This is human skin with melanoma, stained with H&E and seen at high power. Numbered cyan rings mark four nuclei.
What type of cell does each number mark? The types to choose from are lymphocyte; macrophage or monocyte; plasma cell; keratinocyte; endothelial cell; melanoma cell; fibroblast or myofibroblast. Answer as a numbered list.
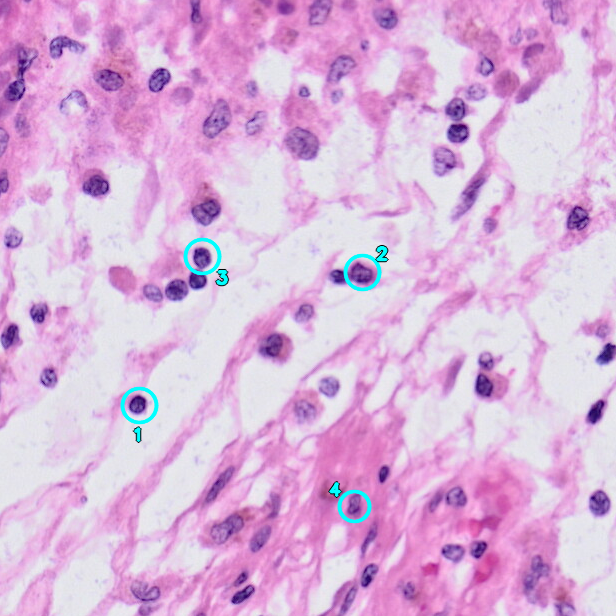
1. lymphocyte
2. macrophage or monocyte
3. lymphocyte
4. macrophage or monocyte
